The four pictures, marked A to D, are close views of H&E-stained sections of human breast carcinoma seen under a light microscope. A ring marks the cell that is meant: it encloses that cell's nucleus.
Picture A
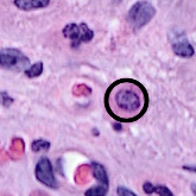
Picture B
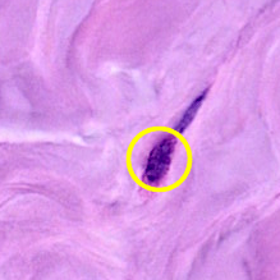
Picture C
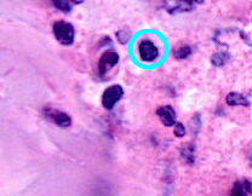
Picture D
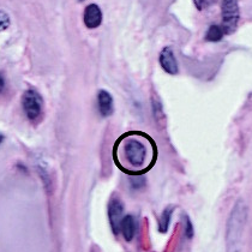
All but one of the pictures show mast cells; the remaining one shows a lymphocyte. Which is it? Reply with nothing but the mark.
C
